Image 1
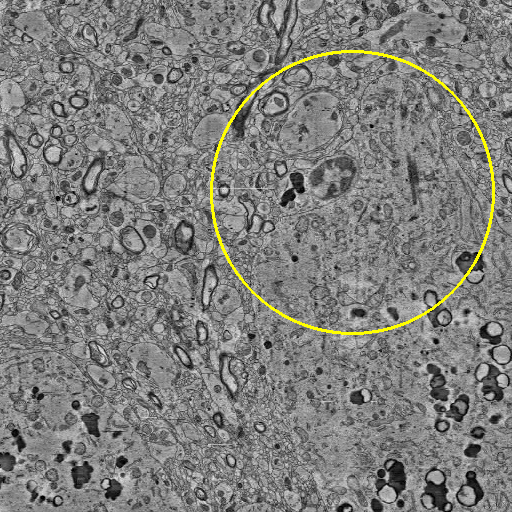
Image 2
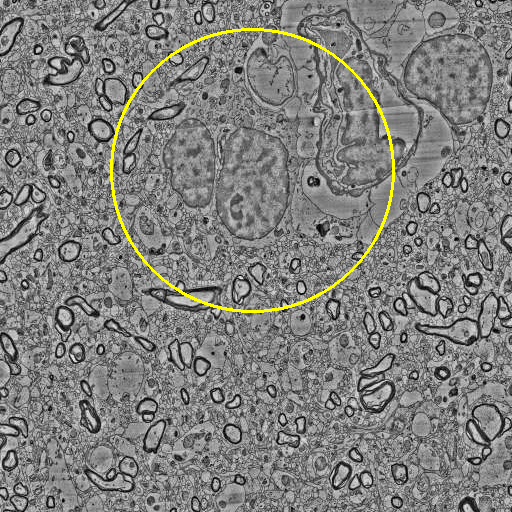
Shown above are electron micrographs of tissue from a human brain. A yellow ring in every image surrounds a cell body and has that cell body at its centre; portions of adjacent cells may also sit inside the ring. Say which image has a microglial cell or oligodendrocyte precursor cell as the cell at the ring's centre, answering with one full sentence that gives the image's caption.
The image whose ring is centred on the requested cell is Image 1.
